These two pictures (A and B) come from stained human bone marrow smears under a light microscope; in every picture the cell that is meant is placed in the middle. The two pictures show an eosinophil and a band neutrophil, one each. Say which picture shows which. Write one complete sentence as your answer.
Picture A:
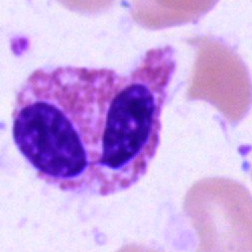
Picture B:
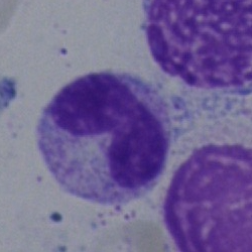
Picture B shows a band neutrophil, while picture A shows an eosinophil.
